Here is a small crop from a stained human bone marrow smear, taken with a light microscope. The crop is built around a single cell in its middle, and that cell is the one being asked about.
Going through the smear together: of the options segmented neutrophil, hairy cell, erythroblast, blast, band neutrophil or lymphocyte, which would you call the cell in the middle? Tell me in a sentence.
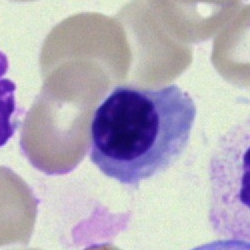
The cell at the middle of the frame should be recorded as an erythroblast.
